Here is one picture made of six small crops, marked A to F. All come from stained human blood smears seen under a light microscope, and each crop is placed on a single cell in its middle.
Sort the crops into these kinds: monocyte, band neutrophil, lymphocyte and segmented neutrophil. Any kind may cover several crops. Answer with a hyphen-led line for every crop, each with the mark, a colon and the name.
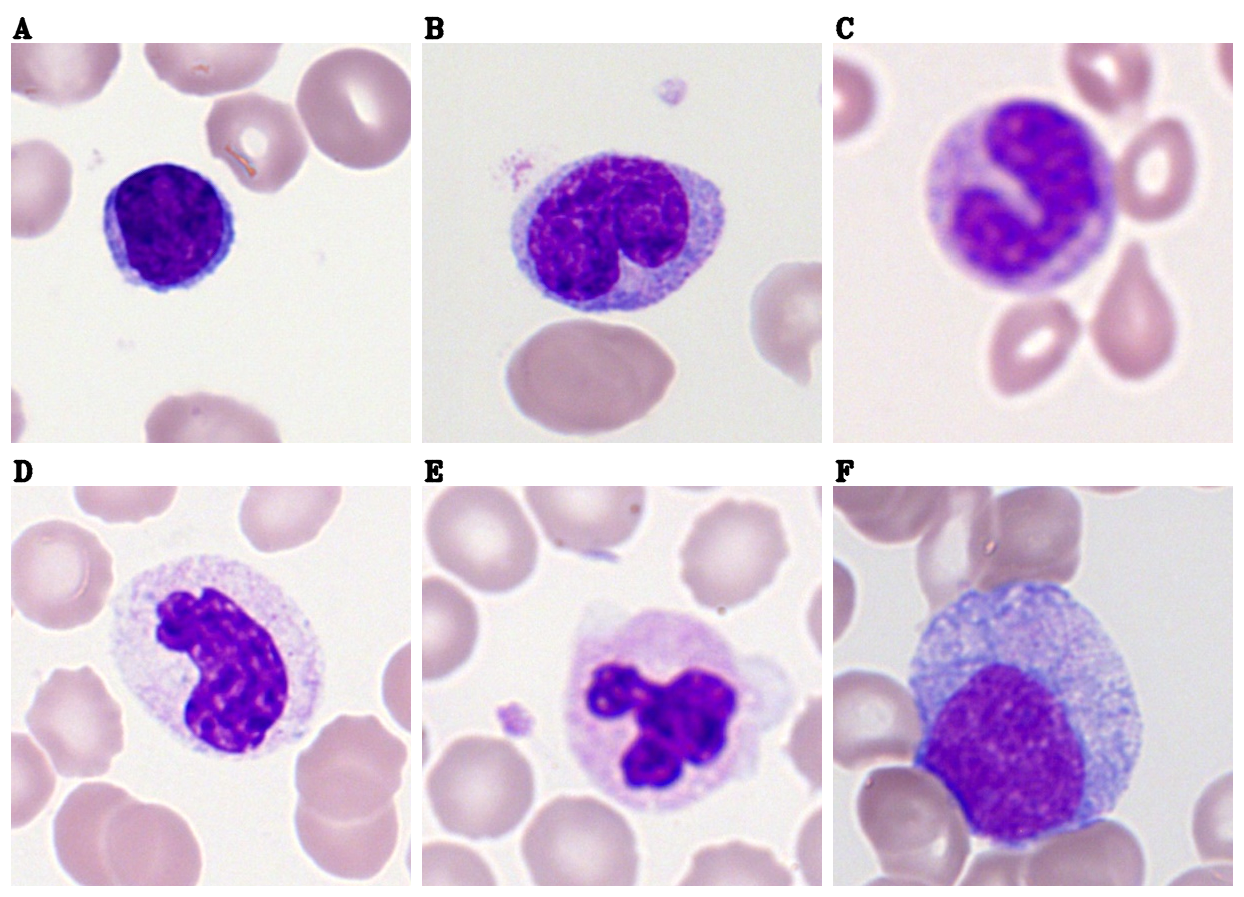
- A: lymphocyte
- B: monocyte
- C: band neutrophil
- D: band neutrophil
- E: segmented neutrophil
- F: monocyte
